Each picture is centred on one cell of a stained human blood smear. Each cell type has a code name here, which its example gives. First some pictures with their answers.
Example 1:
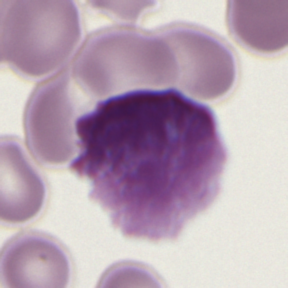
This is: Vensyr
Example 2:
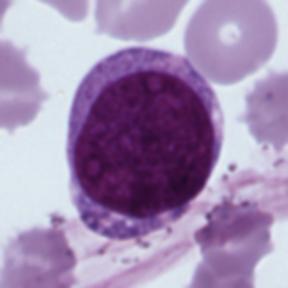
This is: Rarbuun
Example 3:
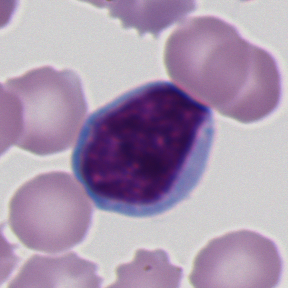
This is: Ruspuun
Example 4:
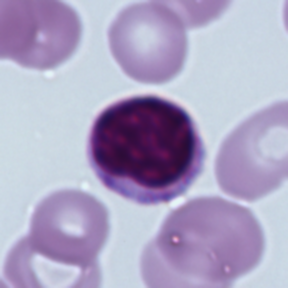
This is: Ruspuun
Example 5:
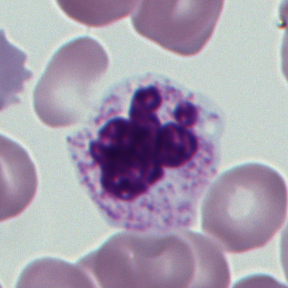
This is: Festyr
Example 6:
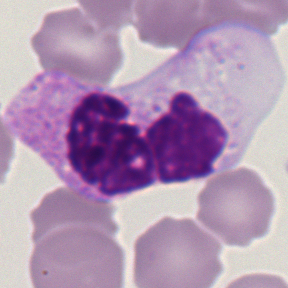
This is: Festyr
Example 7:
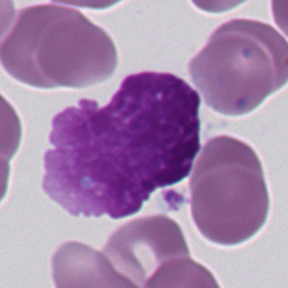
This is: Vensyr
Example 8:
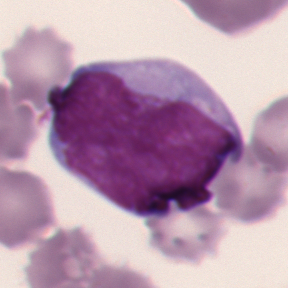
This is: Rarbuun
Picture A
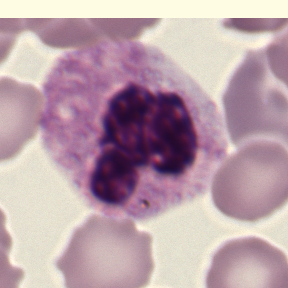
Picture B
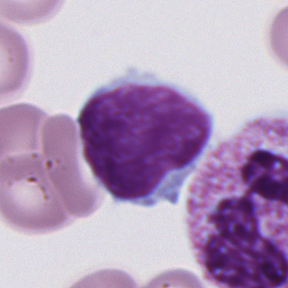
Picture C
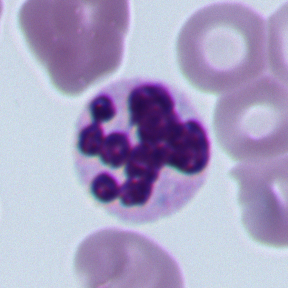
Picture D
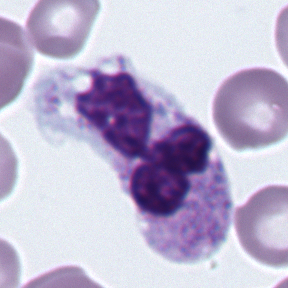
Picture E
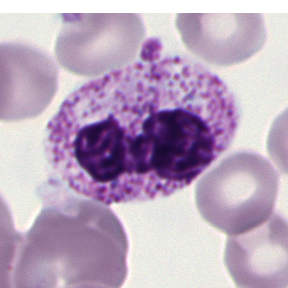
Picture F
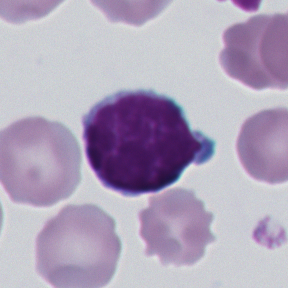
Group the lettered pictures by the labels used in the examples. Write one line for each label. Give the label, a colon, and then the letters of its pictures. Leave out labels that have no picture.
Ruspuun: B, F
Festyr: A, C, D, E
